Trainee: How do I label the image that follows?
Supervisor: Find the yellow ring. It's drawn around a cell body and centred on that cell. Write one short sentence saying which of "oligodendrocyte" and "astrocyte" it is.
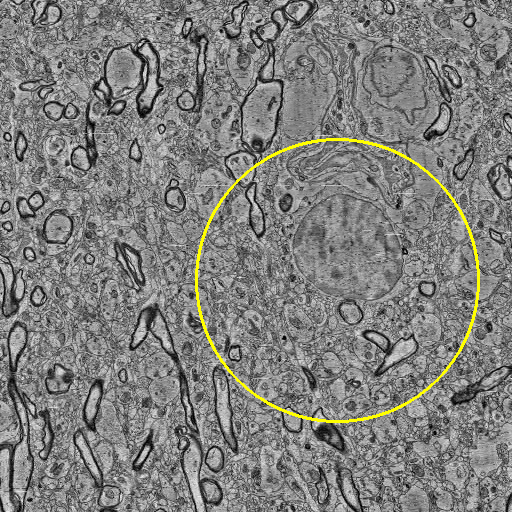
This is the cell body of an oligodendrocyte.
